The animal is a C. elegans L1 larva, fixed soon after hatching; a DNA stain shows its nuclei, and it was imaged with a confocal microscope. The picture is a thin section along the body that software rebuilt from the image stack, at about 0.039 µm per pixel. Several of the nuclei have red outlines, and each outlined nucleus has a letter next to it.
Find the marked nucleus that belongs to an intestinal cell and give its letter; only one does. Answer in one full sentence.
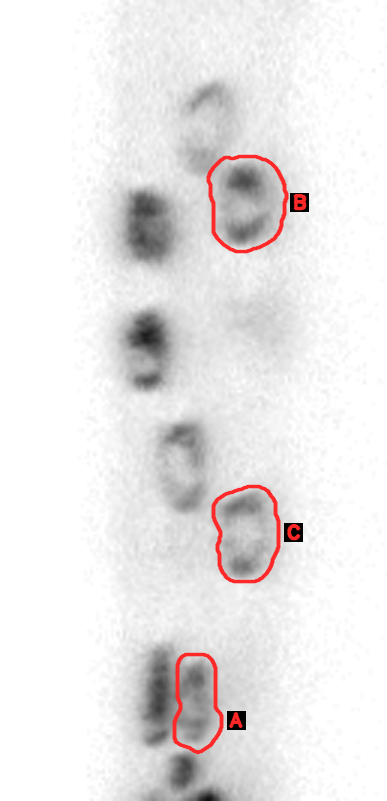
A is from an intestinal cell.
